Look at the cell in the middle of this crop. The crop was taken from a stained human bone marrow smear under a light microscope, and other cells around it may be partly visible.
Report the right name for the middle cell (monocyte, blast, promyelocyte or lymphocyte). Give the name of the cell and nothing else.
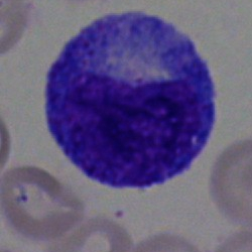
promyelocyte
